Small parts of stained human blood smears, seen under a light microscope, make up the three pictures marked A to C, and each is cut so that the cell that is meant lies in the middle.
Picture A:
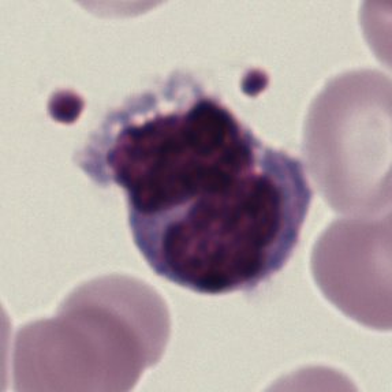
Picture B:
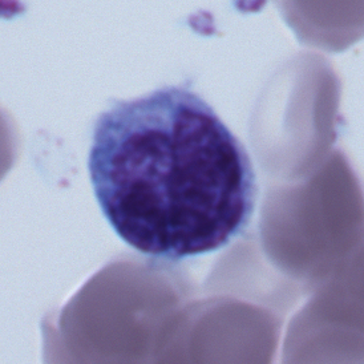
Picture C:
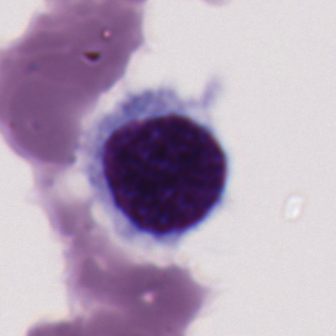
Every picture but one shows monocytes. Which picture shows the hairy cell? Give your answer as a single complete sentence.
Picture C shows the hairy cell.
